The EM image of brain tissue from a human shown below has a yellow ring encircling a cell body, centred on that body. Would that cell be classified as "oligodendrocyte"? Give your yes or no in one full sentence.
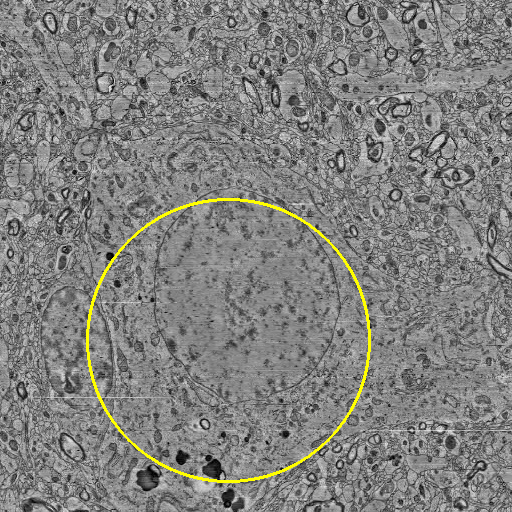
No, the cell at the centre of the ring in the picture falls in another class.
